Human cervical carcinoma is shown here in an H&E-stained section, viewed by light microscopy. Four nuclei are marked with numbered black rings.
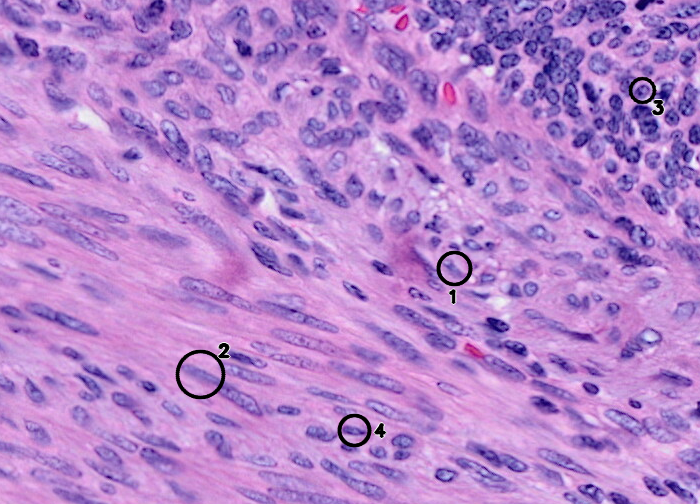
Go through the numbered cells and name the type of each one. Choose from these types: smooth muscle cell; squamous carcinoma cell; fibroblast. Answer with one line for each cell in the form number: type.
1: smooth muscle cell
2: smooth muscle cell
3: squamous carcinoma cell
4: smooth muscle cell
